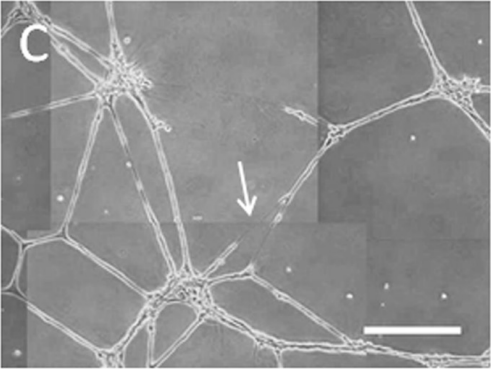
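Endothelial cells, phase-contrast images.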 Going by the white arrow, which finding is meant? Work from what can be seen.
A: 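The arrow points at a cord that narrows to a faint thin strand. Cell segments along that cord are separated by gaps.
Conclusion: disruption of the capillary-like structure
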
